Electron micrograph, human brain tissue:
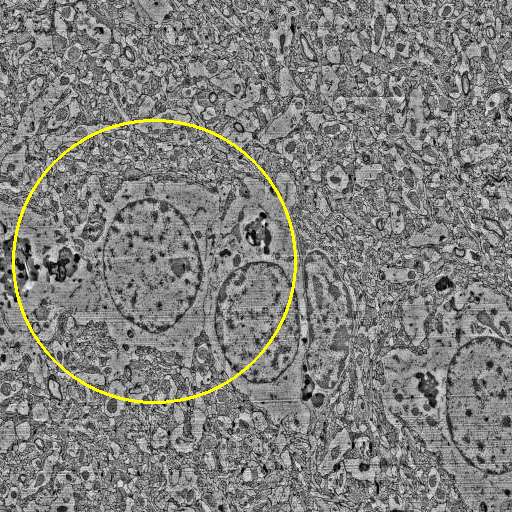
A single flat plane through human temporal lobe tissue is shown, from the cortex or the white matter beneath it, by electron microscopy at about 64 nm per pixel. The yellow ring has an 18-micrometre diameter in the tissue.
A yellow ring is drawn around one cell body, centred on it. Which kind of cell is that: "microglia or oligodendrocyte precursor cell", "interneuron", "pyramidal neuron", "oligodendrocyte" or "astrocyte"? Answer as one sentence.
It is an astrocyte at the centre of the ring.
